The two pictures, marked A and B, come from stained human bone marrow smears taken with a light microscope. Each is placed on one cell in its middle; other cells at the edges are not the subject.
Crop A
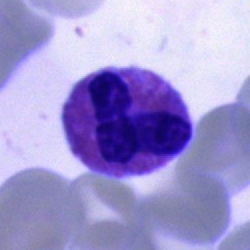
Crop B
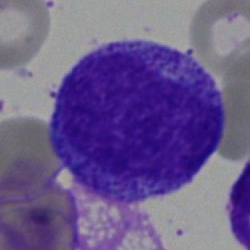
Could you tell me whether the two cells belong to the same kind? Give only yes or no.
no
